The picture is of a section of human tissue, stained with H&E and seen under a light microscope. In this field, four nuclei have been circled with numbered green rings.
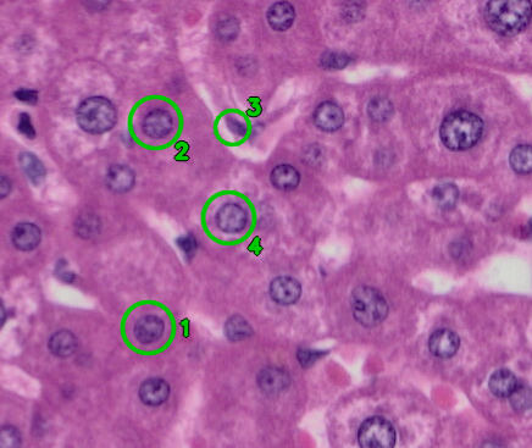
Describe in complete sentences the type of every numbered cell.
Cell 1 is a hepatocyte, cell 2 is a hepatocyte, cell 3 is a Kupffer cell and cell 4 is a hepatocyte.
